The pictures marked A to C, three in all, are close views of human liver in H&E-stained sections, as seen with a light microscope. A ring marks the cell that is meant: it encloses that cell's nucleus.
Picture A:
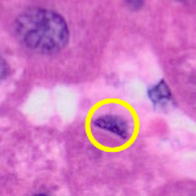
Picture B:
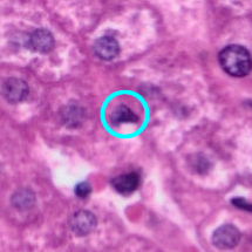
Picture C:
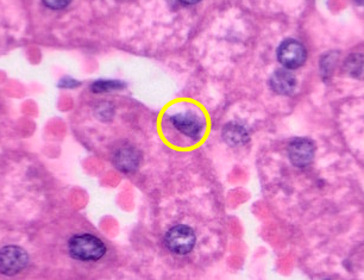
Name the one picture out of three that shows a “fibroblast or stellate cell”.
A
